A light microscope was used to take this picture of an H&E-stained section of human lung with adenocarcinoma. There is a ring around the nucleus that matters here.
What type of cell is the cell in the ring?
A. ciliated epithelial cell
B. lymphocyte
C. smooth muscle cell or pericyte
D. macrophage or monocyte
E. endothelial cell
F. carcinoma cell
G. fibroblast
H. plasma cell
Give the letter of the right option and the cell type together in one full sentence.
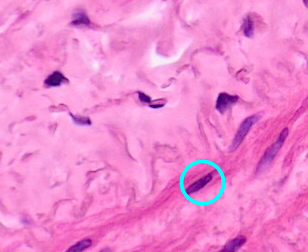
The item is answered by option C: the cell in the ring is a smooth muscle cell or pericyte.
